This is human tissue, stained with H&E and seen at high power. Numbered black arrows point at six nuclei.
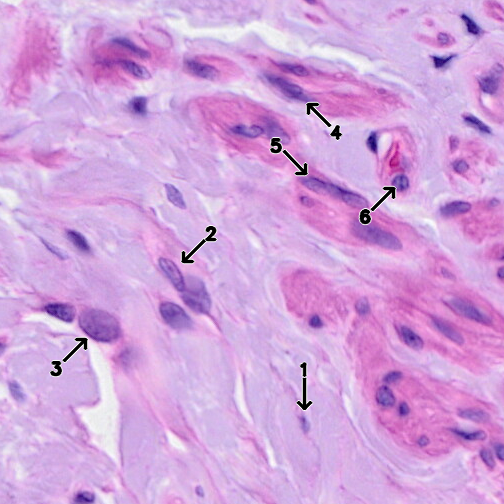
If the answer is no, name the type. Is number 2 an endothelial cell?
Yes.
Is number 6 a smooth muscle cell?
No, it is an endothelial cell.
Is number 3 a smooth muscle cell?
No, it is an endothelial cell.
